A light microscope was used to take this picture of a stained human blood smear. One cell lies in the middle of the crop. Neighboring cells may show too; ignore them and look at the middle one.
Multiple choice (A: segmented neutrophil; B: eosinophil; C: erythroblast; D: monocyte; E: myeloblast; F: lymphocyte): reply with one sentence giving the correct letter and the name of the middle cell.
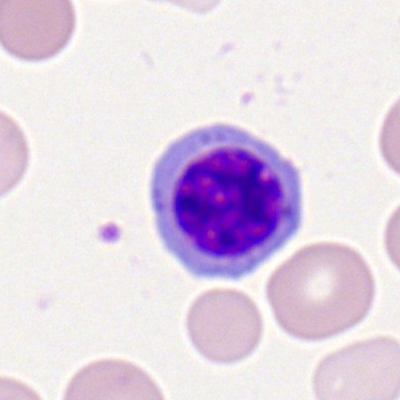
According to option C, which is correct, the cell in the middle is an erythroblast.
